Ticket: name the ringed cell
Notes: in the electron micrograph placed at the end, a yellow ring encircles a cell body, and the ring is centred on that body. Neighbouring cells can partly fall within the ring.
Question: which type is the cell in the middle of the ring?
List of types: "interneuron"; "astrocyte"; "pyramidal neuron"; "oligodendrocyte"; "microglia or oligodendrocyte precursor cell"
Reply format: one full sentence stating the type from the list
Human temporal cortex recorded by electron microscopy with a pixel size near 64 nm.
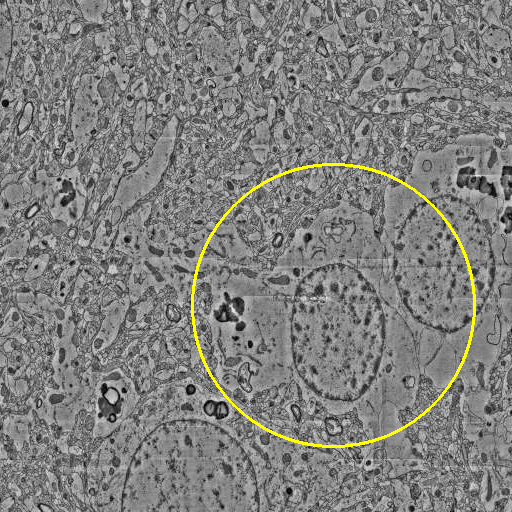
The cell sitting at the centre of the yellow ring is an astrocyte.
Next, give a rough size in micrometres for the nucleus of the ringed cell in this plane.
The nucleus measures about 9 by 6 micrometres in this plane.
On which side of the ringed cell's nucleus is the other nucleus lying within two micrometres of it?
The other one is to the upper right of it.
